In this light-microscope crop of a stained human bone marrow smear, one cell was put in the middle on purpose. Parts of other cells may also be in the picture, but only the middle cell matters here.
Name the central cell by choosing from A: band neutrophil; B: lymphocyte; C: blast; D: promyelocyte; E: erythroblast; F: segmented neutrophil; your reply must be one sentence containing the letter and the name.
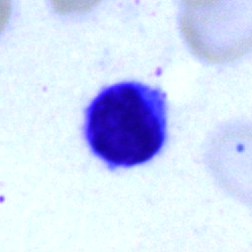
That the central cell is a lymphocyte makes option B correct.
